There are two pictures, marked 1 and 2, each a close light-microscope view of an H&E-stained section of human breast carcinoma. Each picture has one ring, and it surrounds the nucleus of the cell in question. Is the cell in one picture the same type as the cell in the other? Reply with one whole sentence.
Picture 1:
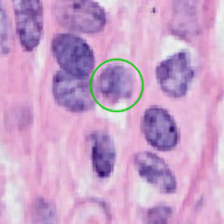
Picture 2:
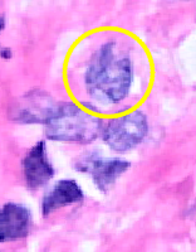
Yes, both are carcinoma cells.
